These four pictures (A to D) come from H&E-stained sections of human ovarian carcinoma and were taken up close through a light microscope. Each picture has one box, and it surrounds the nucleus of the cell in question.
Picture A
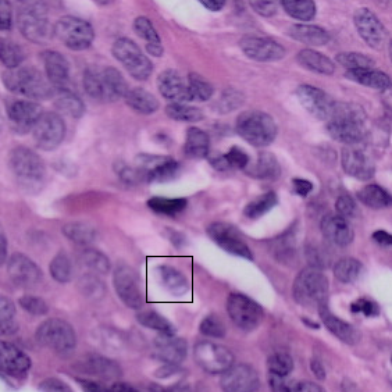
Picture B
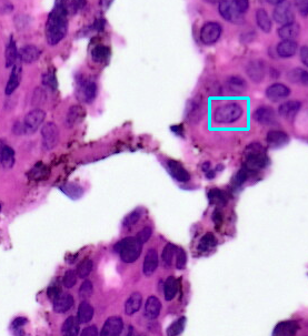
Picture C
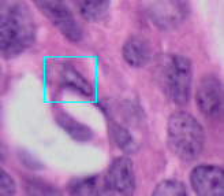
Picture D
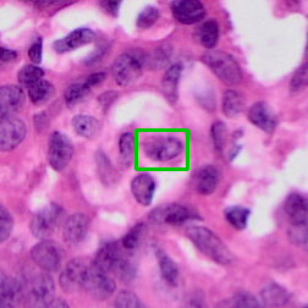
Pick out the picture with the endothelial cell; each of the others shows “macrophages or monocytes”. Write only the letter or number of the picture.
C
